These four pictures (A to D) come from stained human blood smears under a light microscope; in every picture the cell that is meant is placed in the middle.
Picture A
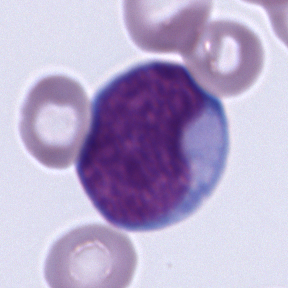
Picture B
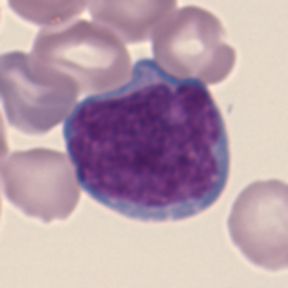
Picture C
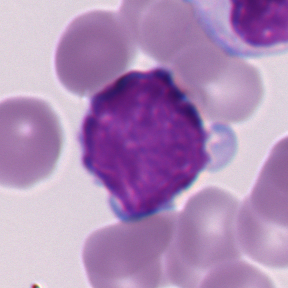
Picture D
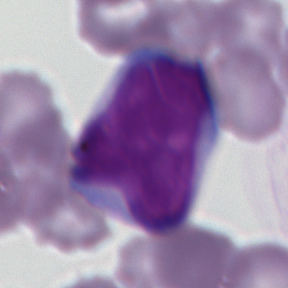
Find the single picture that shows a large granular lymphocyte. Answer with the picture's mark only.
C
